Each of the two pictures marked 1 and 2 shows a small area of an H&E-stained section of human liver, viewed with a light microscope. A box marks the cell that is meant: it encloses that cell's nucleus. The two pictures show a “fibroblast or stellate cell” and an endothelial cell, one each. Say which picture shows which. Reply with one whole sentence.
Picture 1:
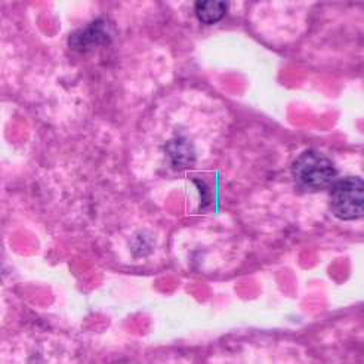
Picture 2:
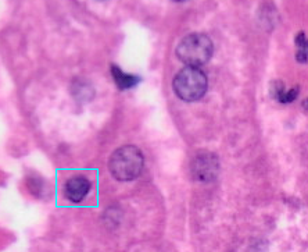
In picture 1 the cell is an endothelial cell; in picture 2, a “fibroblast or stellate cell”.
